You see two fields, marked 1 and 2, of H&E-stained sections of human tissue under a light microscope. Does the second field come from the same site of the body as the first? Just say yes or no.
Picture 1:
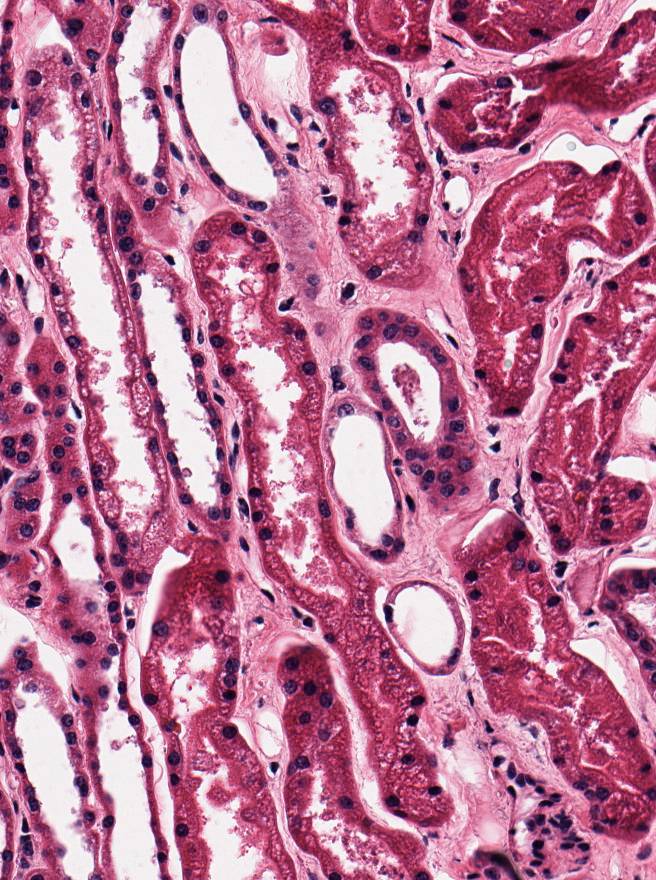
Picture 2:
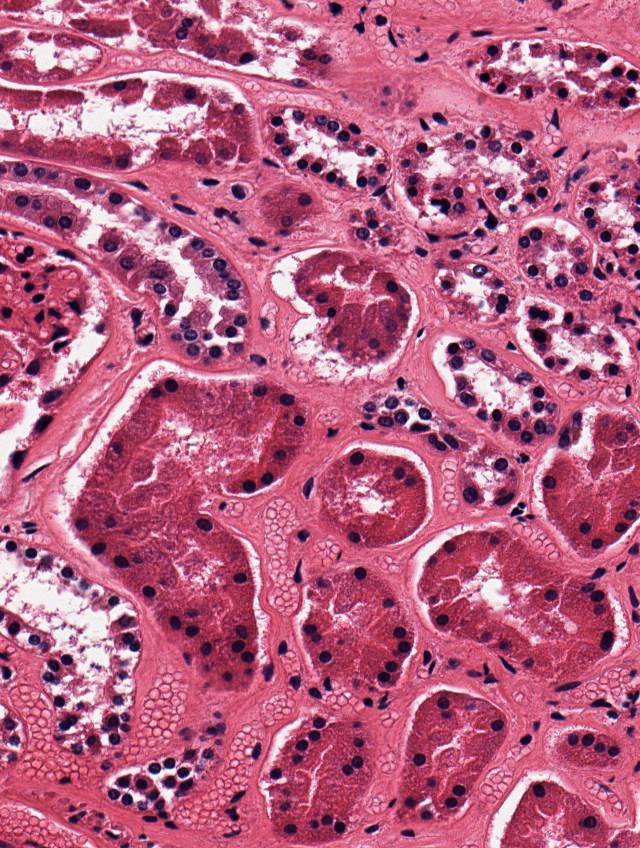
yes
